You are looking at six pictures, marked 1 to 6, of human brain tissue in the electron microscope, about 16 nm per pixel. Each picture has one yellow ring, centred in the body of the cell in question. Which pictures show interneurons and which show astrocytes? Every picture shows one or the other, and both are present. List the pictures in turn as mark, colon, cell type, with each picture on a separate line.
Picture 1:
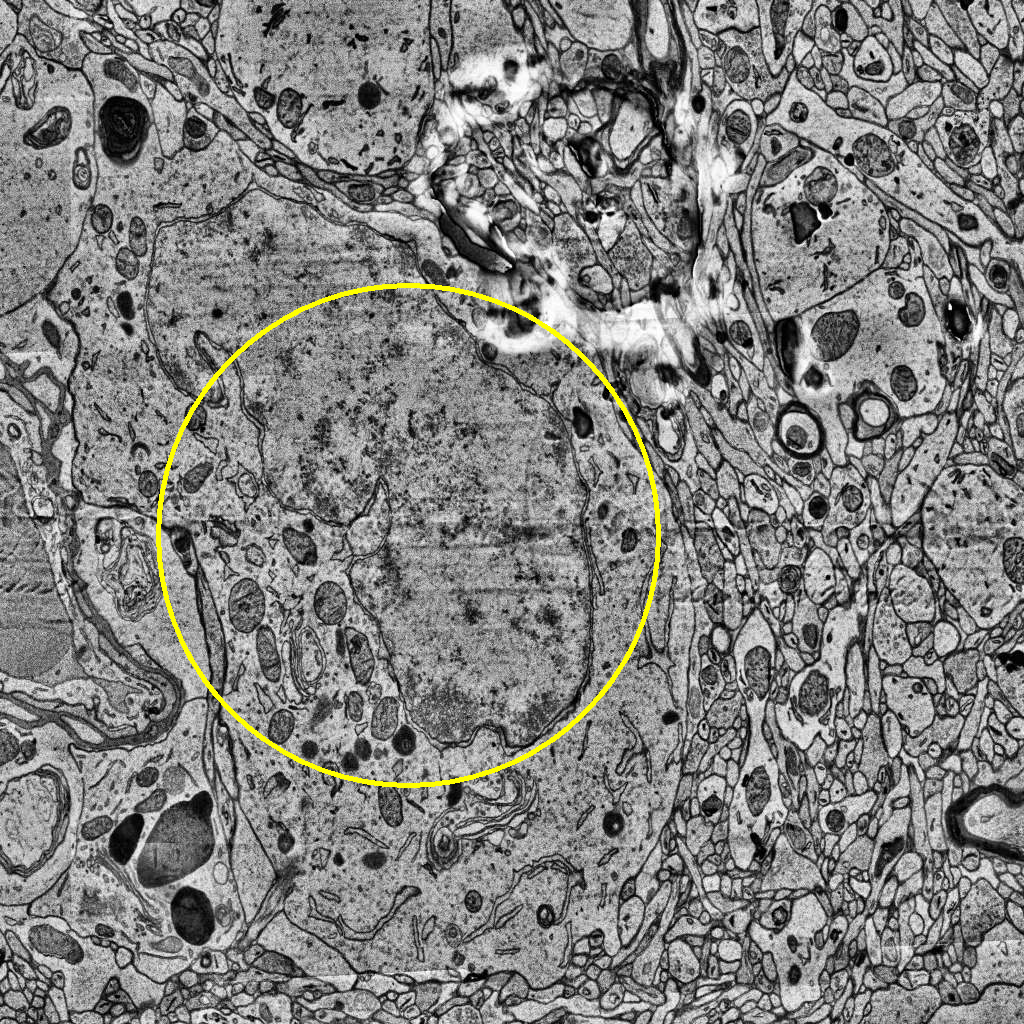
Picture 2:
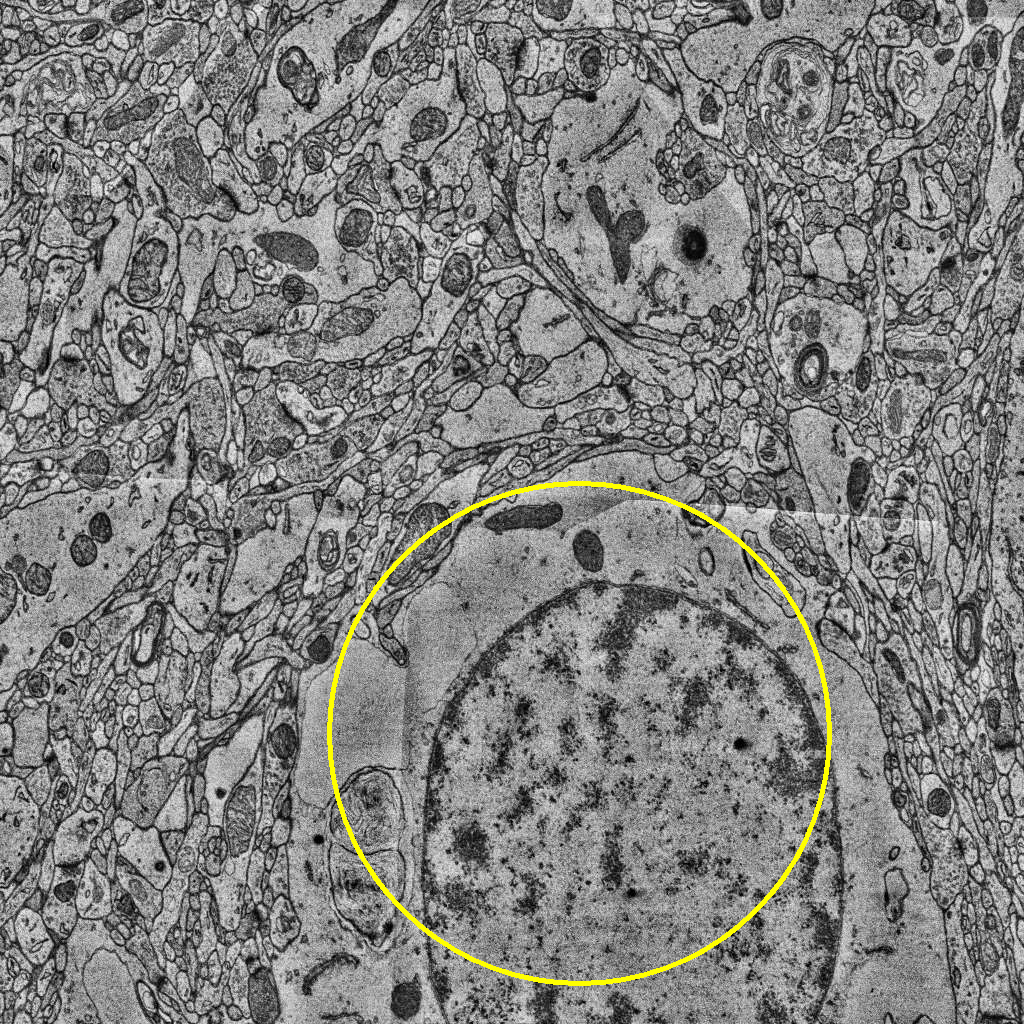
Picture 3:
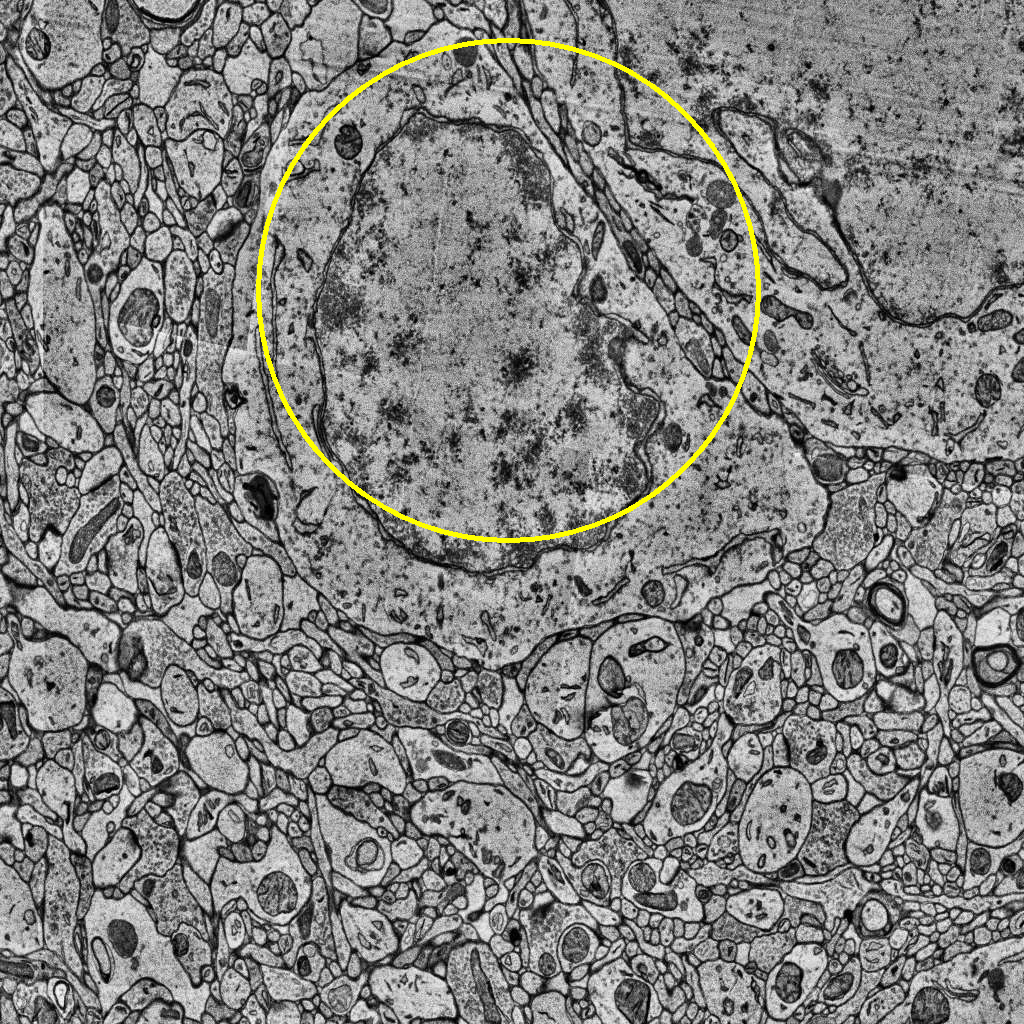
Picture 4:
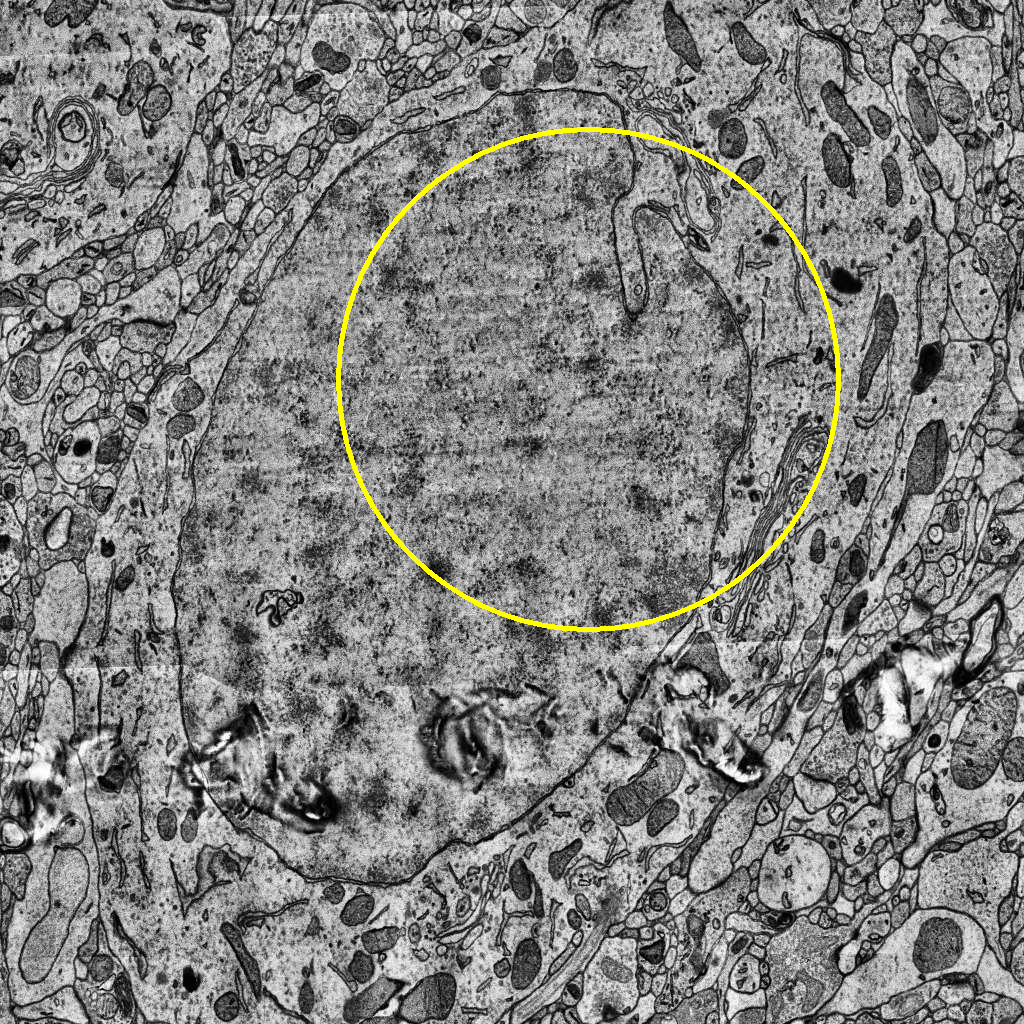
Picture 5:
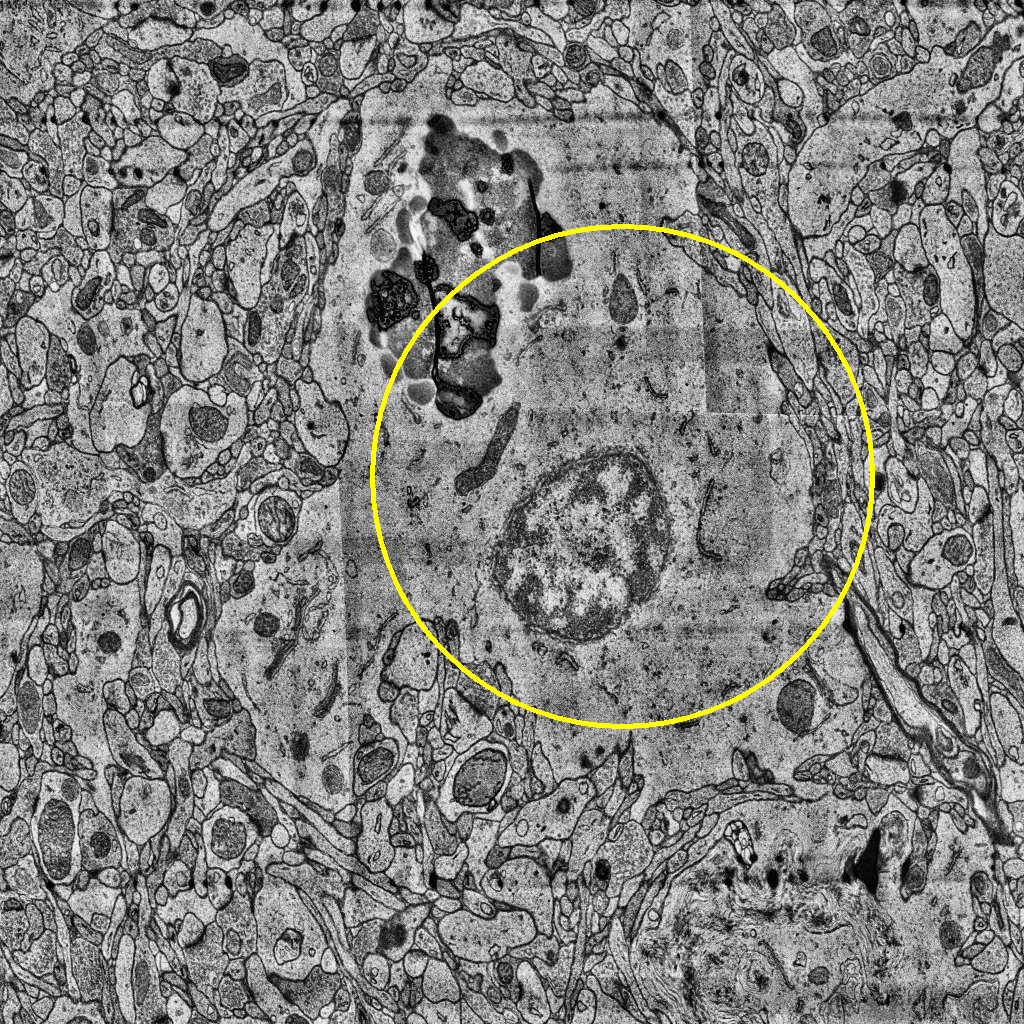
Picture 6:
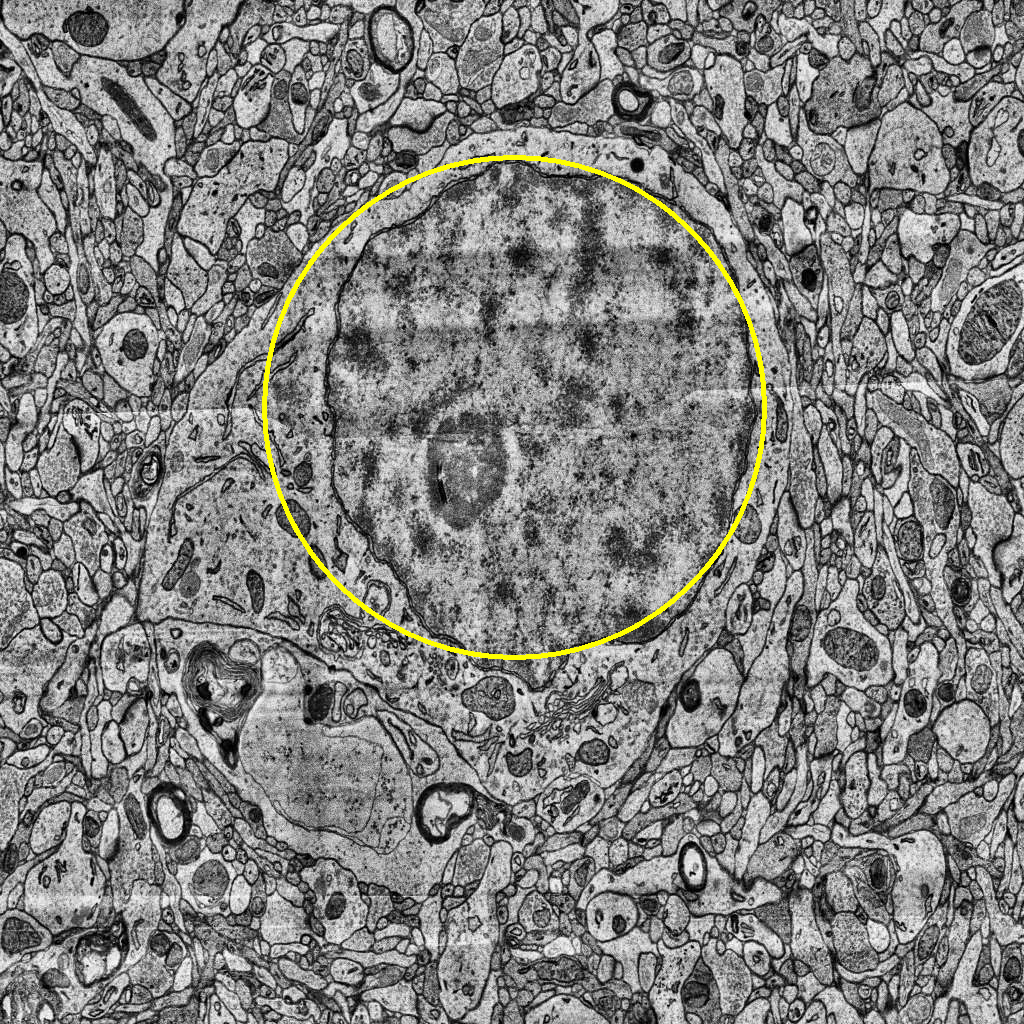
1: interneuron
2: astrocyte
3: interneuron
4: interneuron
5: astrocyte
6: interneuron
